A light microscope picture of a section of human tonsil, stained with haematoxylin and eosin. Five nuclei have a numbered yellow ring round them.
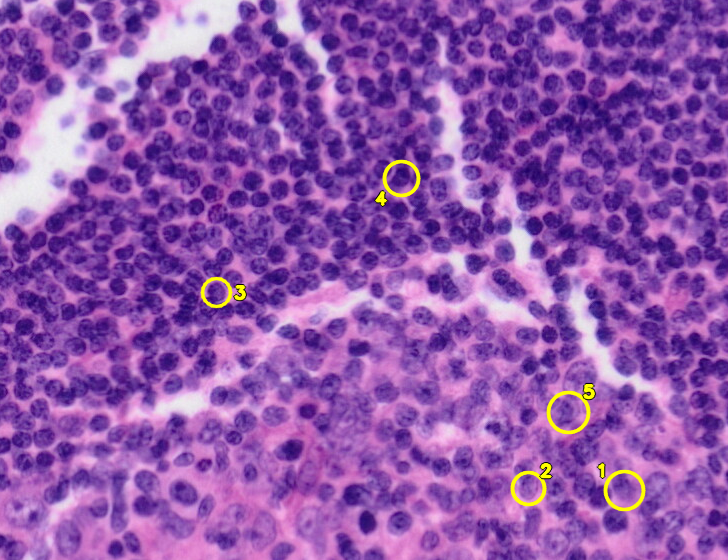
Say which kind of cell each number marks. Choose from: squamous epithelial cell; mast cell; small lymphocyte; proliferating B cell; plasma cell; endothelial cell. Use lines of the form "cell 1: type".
cell 1: proliferating B cell
cell 2: proliferating B cell
cell 3: small lymphocyte
cell 4: small lymphocyte
cell 5: proliferating B cell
